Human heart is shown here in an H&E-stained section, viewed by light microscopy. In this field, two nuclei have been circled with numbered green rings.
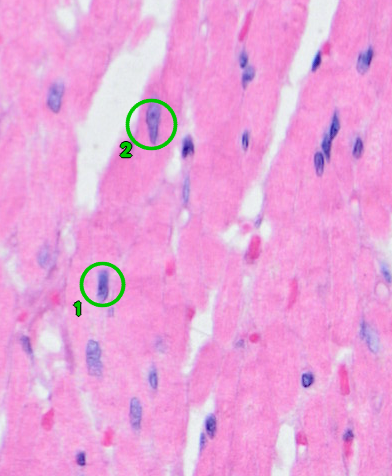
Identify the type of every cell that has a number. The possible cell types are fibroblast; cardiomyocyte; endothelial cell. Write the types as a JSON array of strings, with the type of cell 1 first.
["endothelial cell", "cardiomyocyte"]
